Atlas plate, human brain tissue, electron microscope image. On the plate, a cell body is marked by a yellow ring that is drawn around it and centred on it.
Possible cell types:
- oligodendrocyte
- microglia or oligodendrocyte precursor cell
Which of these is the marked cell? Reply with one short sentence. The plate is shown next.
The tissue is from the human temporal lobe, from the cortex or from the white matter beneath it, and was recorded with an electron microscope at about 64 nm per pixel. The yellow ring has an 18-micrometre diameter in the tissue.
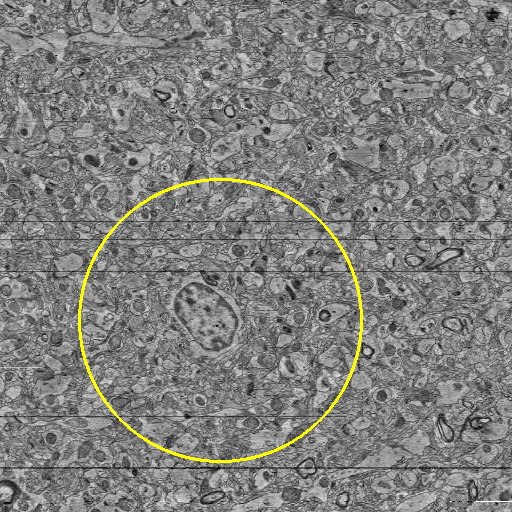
The marked cell is a microglial cell or oligodendrocyte precursor cell.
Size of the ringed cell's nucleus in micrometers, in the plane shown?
In this plane, the nucleus is roughly 5 by 3 micrometres.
